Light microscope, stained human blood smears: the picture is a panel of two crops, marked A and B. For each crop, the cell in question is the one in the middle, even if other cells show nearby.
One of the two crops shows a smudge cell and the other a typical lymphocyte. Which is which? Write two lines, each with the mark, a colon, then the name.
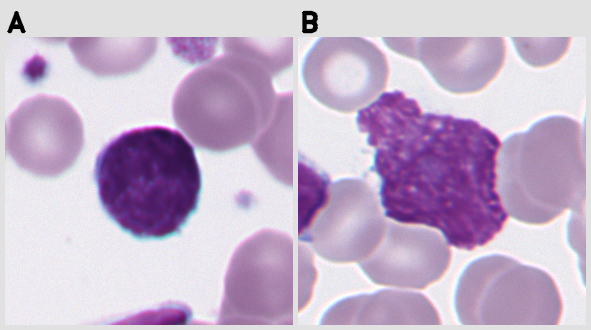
A: typical lymphocyte
B: smudge cell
